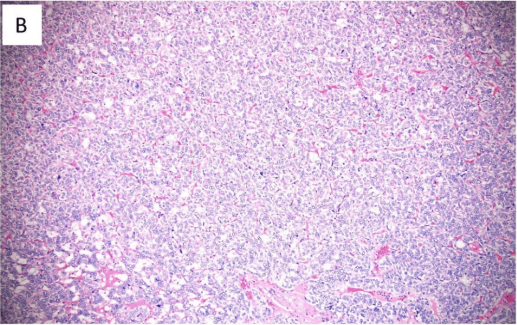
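At medium magnification the tumor shows a nested, Zellballen pattern: tumor cells are grouped in many small rounded nests separated by delicate thin septa carrying fine vessels. The nests are fairly uniform in size and fill the field densely. The cells have purple nuclei and moderate pale cytoplasm. Scattered small clear spaces and a few thicker pink fibrous strands, especially toward the lower part of the field, interrupt the otherwise even arrangement. No normal organ architecture is seen in the field.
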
